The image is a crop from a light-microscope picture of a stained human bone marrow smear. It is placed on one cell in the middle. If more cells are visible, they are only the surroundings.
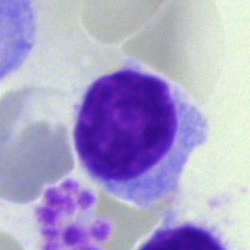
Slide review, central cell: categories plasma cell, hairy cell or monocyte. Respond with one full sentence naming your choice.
By type, the central cell of the crop is a hairy cell.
